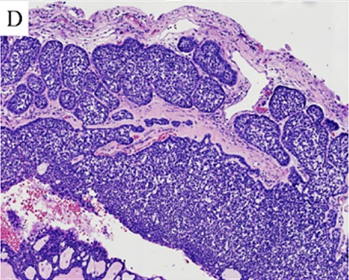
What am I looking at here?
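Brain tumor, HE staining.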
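A broad band of densely packed cells with dark purple nuclei fills most of the field, with smaller lobules separated by thin pink fibrous septa above it. The cells are small with scant cytoplasm and lie in continuous sheets with few spaces between them.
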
